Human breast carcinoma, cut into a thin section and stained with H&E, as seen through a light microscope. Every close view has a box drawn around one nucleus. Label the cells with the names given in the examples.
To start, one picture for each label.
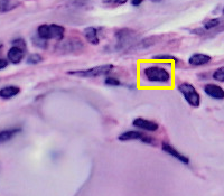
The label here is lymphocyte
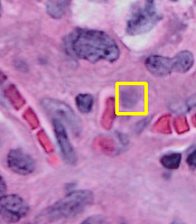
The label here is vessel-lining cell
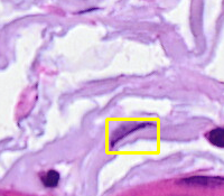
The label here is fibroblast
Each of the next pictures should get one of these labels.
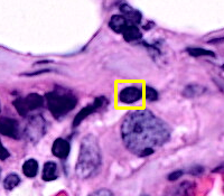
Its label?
lymphocyte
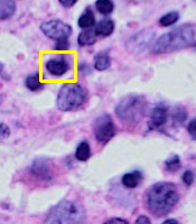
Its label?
lymphocyte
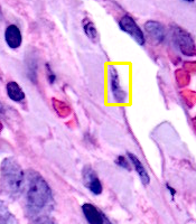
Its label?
fibroblast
